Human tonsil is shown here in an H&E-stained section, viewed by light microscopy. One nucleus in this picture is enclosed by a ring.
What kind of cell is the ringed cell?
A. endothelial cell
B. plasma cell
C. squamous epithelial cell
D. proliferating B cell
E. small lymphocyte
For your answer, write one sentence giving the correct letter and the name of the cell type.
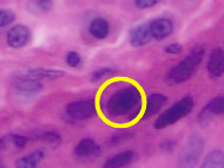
Option C is the one that fits, as the ringed cell is a squamous epithelial cell.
